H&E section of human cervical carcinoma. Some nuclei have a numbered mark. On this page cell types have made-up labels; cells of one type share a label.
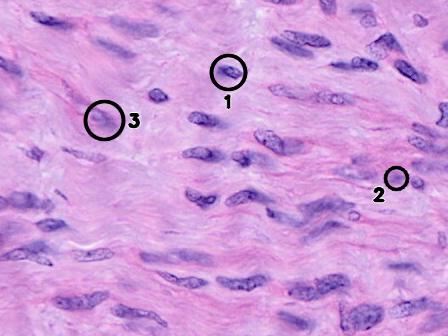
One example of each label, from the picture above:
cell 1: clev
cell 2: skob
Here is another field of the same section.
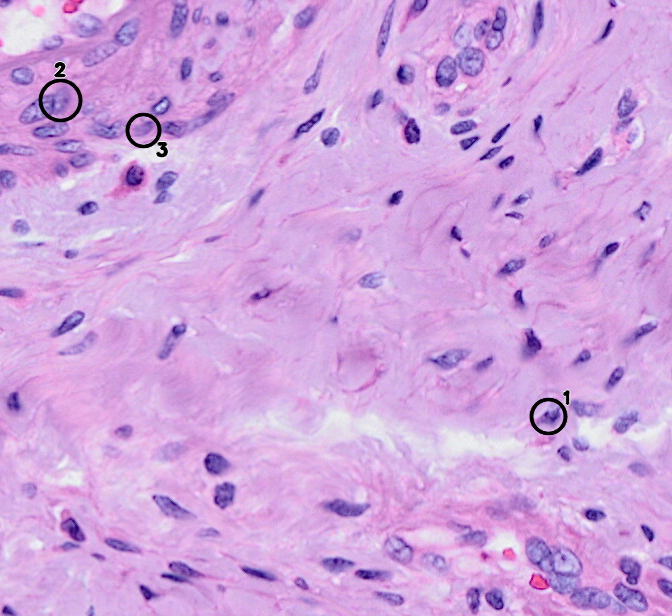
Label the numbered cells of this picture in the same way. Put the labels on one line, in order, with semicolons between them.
clev; skob; skob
